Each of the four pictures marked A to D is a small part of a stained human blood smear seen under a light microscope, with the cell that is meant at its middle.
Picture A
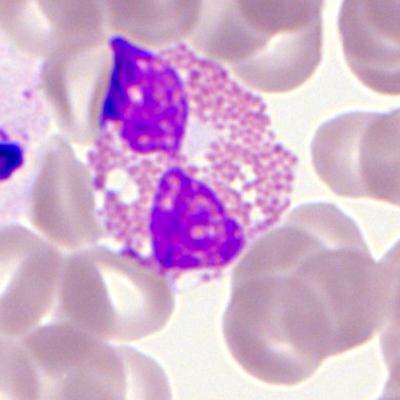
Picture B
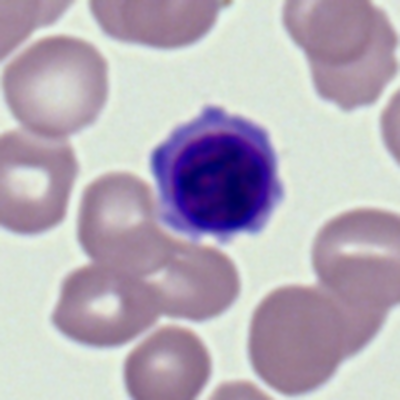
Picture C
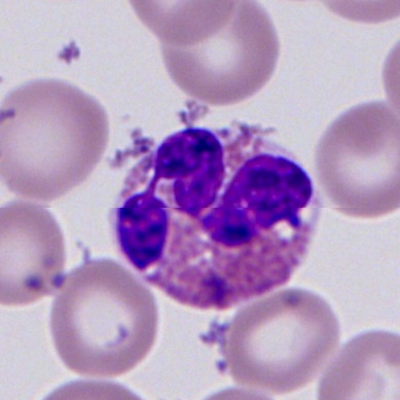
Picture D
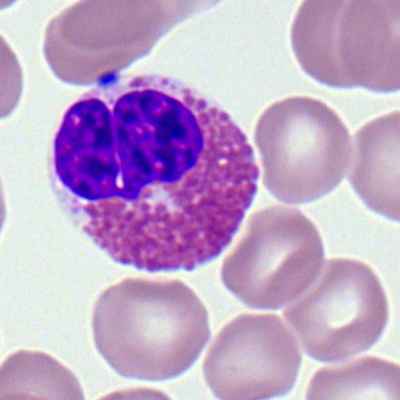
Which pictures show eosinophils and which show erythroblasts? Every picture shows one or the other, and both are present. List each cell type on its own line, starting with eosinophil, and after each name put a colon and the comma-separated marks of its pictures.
eosinophil: A, C, D
erythroblast: B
